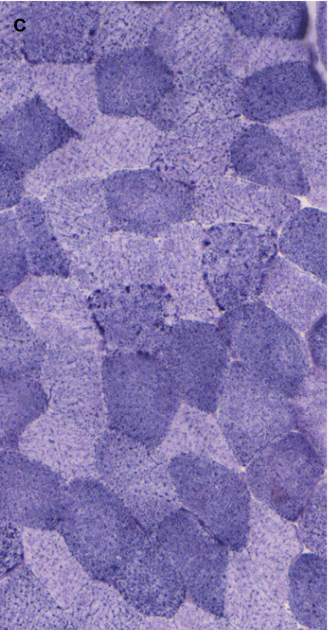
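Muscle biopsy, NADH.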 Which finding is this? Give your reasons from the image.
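Fibers vary from dark purple to pale lilac. Staining within fibers is granular and patchy rather than uniform.
Answer: Fibers stained unevenly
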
